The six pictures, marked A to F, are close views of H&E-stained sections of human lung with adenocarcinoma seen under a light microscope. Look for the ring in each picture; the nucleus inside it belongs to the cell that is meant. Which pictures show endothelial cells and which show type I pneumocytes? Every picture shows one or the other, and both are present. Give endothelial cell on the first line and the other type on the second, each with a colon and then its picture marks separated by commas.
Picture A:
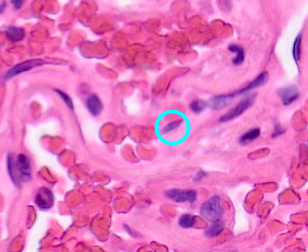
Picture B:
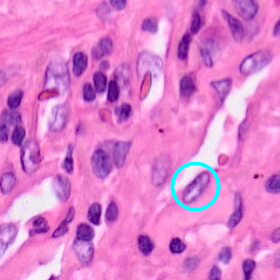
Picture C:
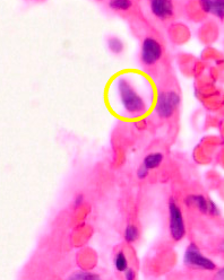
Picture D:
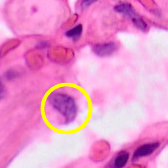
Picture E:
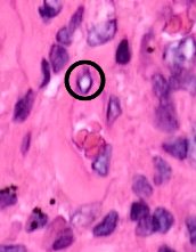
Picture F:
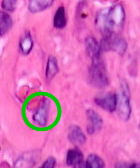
endothelial cell: A, B, E, F
type I pneumocyte: C, D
